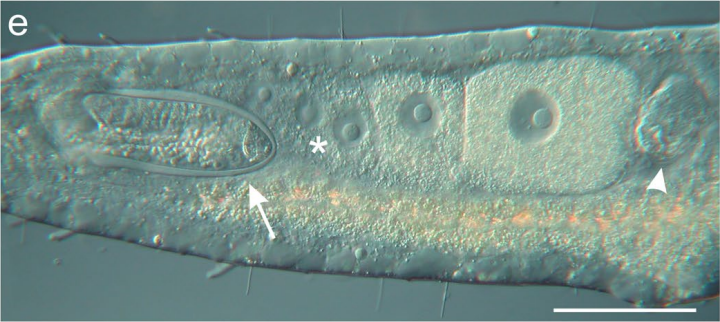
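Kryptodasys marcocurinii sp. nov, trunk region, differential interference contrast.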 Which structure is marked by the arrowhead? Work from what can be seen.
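Frontal organ. A rounded, folded sac lies directly next to the largest egg. It sits at the end of the egg series.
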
